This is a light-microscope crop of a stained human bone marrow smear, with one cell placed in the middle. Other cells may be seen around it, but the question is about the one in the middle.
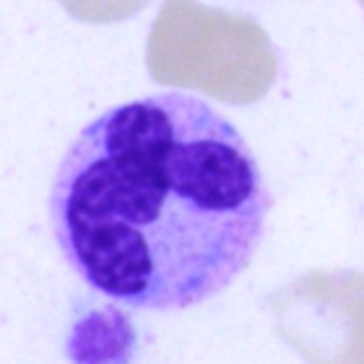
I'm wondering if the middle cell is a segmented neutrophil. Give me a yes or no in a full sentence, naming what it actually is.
Yes, this central cell is a segmented neutrophil.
